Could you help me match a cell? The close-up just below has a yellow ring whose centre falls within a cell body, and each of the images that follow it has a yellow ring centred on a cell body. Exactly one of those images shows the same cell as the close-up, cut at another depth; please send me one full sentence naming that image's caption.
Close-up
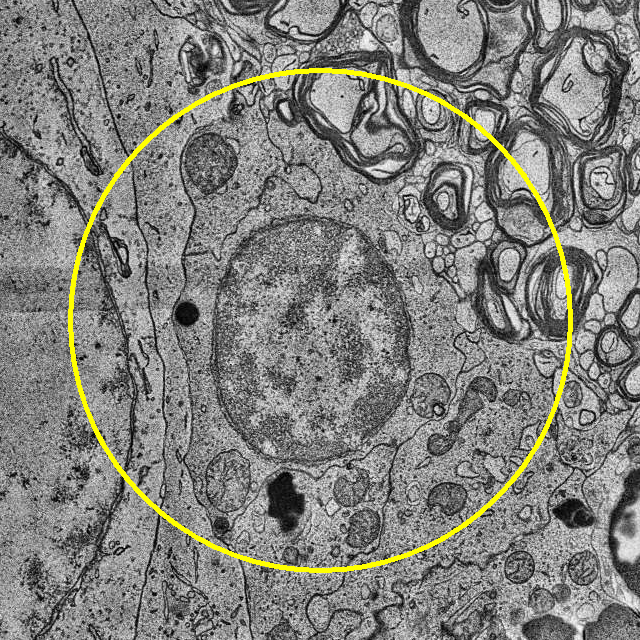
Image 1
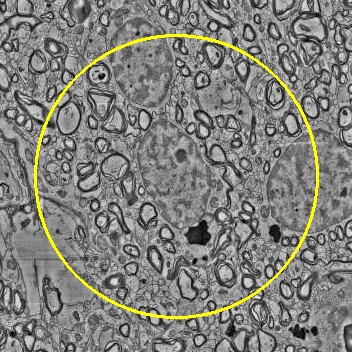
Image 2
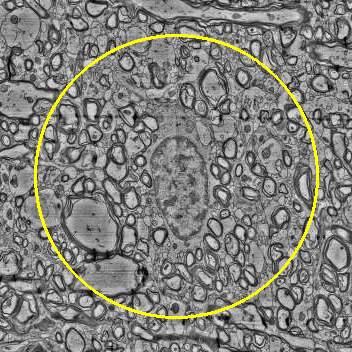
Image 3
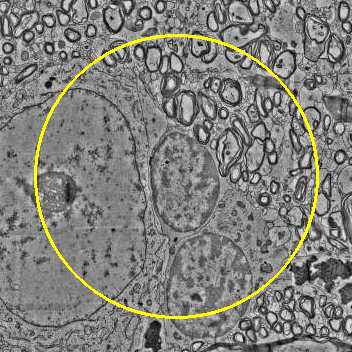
The close-up matches the cell enclosed by the yellow ring in Image 3.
